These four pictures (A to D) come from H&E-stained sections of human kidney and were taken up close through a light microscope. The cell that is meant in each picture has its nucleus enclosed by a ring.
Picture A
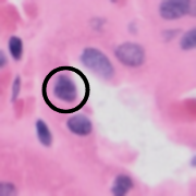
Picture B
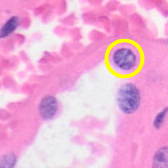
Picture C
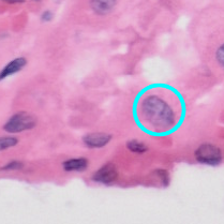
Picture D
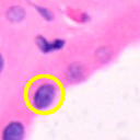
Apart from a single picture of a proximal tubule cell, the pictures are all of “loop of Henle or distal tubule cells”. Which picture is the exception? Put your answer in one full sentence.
Picture C shows the proximal tubule cell.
